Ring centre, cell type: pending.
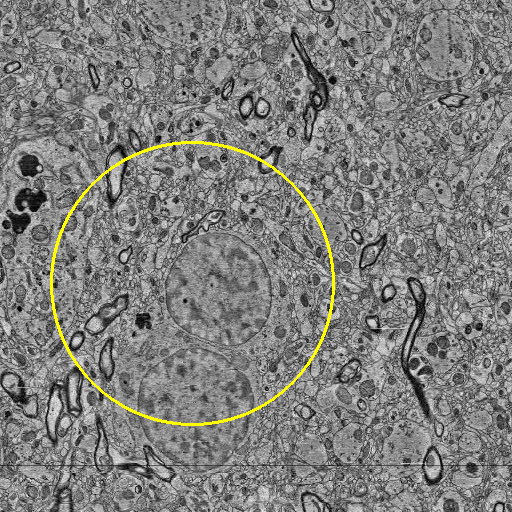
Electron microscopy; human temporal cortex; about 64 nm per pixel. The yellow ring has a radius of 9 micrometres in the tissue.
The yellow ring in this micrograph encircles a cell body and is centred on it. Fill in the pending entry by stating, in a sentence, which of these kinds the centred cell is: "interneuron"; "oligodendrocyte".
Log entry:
The centred cell is recorded as an oligodendrocyte.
